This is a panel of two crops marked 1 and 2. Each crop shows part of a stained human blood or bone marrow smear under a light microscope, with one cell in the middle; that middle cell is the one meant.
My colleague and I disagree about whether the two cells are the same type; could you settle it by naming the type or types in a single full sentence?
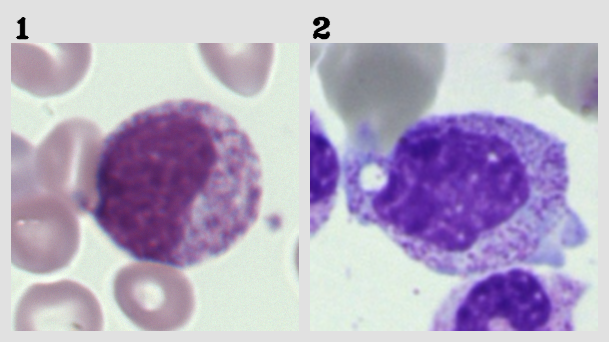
Yes, the first and the second crop both show myelocytes.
